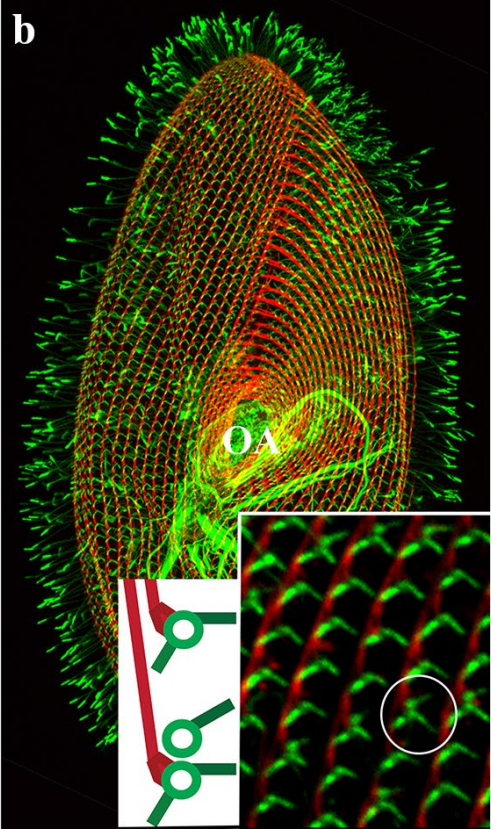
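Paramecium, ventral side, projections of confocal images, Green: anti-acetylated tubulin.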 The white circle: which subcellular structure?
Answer: paired basal bodies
